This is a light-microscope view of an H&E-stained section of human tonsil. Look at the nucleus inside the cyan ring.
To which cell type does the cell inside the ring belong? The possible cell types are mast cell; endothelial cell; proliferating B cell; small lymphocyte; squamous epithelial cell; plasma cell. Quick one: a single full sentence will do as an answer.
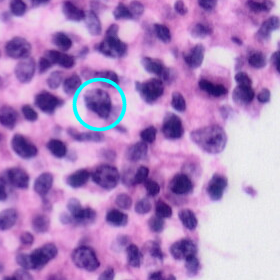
In this tissue sample, the cell inside the ring is a proliferating B cell.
